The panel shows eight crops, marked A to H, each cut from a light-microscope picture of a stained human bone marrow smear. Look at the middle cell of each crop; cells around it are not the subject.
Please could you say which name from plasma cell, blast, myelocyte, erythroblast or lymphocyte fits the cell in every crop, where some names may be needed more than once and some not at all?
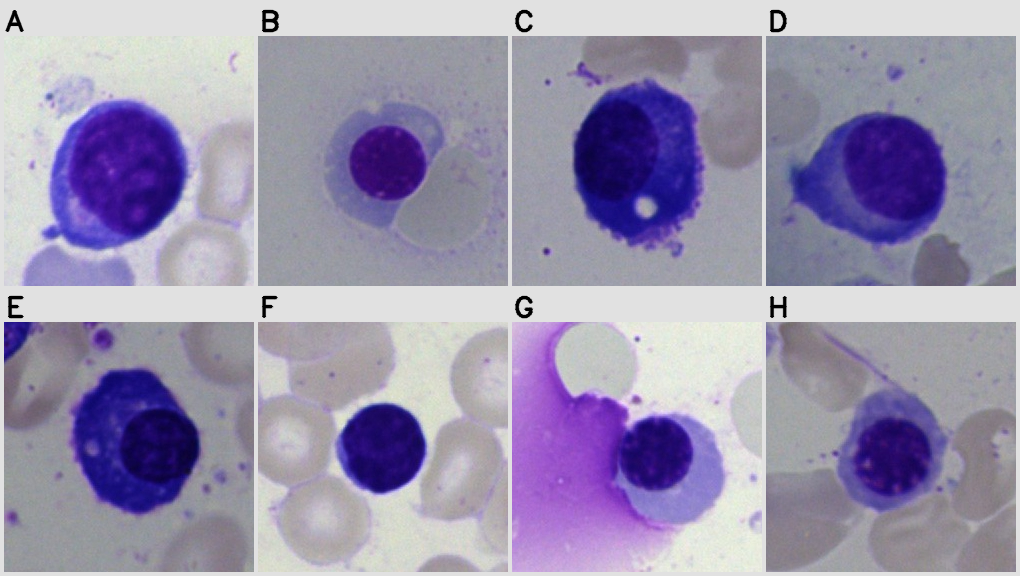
A: lymphocyte
B: erythroblast
C: plasma cell
D: plasma cell
E: plasma cell
F: lymphocyte
G: erythroblast
H: erythroblast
